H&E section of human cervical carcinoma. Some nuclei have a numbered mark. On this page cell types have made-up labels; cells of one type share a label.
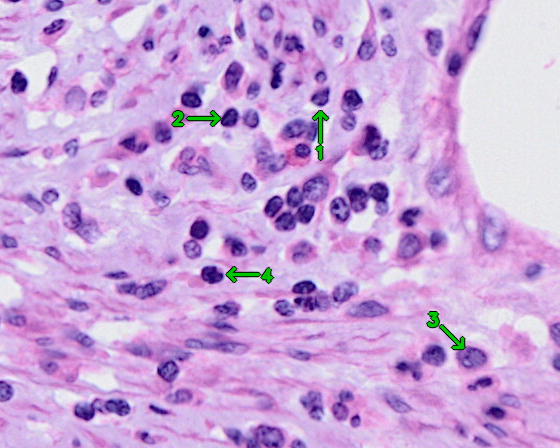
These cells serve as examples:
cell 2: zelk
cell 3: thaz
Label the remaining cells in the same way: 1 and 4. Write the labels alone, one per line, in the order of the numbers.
zelk
zelk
